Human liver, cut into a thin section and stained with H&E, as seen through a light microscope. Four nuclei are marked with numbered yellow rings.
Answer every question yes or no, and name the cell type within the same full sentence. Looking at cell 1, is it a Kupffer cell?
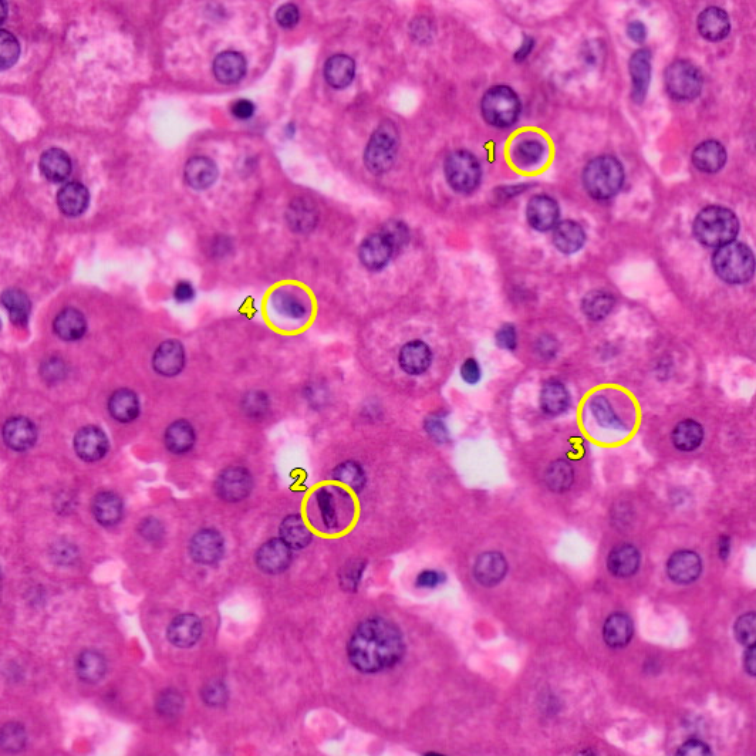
Yes, the cell with the number 1 is a Kupffer cell.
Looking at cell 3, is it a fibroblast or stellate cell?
No, the cell under number 3 is an endothelial cell instead of a fibroblast or stellate cell.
